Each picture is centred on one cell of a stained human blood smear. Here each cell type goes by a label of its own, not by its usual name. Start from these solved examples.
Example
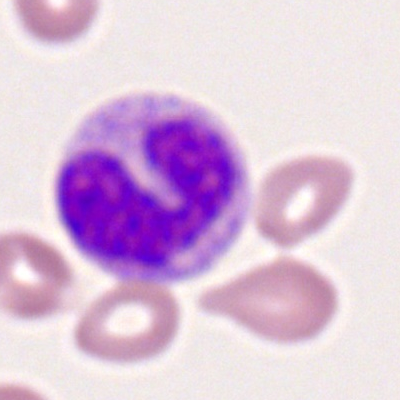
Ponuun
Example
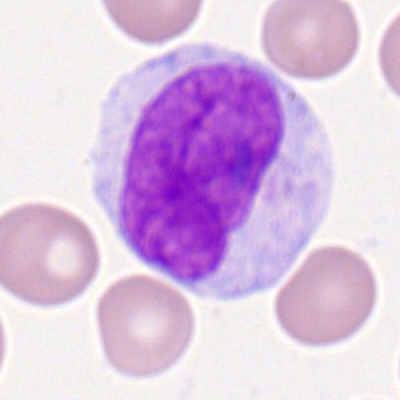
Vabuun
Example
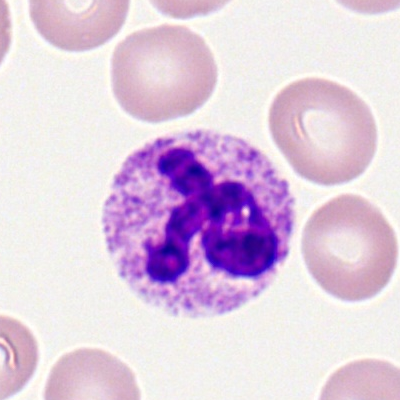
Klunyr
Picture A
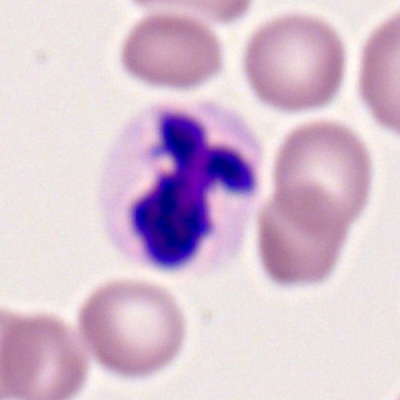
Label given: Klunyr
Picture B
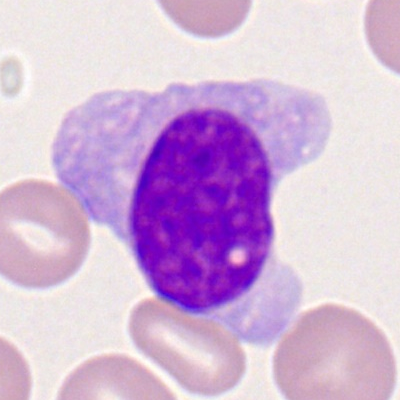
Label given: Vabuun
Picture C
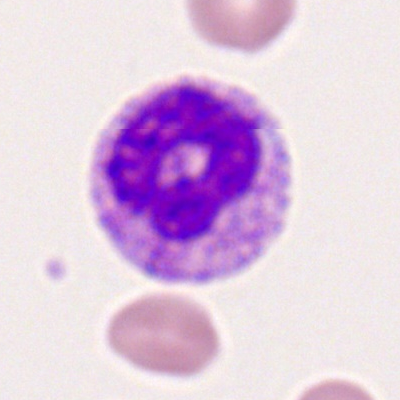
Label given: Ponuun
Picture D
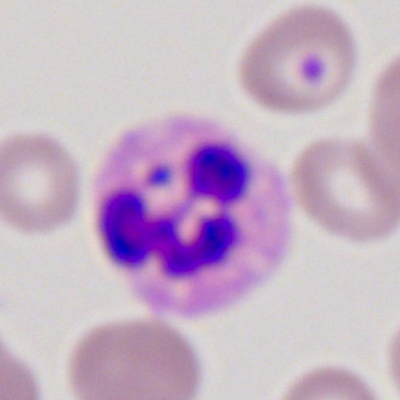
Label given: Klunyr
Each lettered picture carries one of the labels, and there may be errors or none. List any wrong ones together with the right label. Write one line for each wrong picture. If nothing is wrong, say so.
No label is wrong.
